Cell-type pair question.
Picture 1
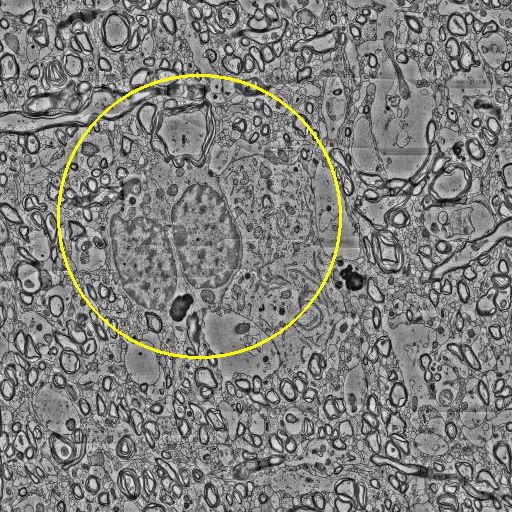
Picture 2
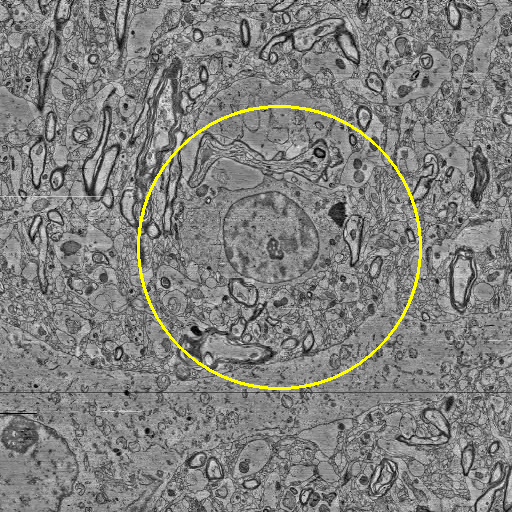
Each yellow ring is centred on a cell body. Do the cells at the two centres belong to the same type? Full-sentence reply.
Yes, the two cells belong to the same type.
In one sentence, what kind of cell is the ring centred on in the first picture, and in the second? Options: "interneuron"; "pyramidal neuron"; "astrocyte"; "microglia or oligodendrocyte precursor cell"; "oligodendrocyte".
In each picture the ringed cell is an oligodendrocyte.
